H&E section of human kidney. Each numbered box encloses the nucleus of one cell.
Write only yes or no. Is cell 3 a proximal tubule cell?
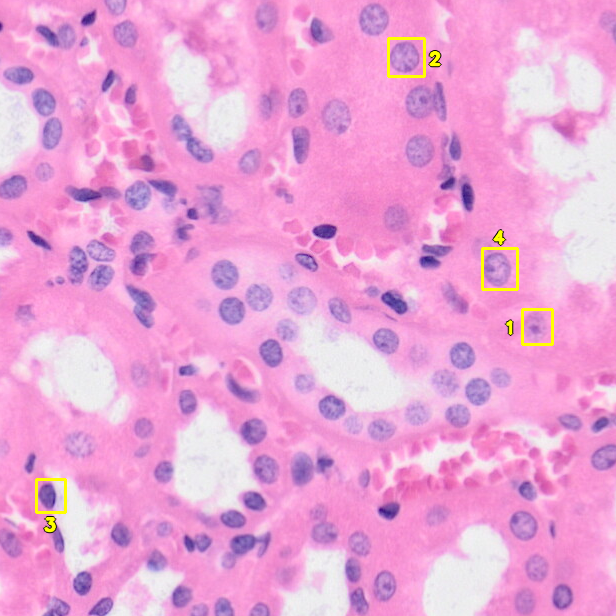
no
